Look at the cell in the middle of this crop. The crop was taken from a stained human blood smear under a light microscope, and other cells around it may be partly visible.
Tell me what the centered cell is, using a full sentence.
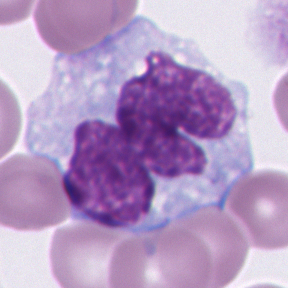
The central cell, amid any neighbouring cells, is a monocyte.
